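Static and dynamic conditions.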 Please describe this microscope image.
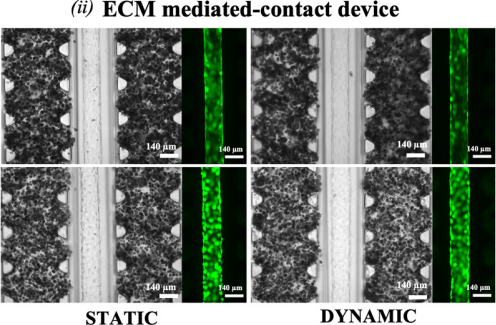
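These unstained brightfield views show a cell-laden gel in long parallel channels of a microfluidic device, bordered on each side by a row of trapezoidal posts. The lateral channels are densely filled with dark, granular clusters of cells separated by small pale gaps, giving a mottled texture. The narrow strips beside each view show a band of green fluorescent cells lying along the channel.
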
